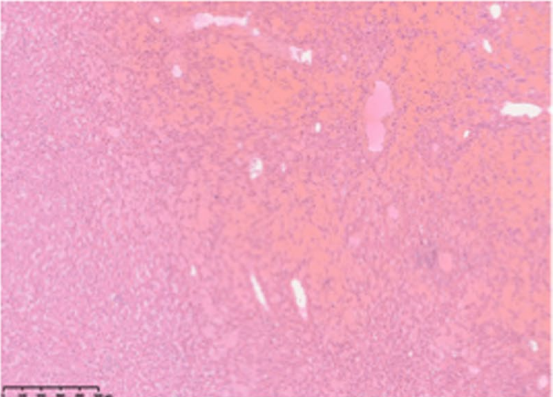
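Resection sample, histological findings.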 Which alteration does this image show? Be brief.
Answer: Dilatation and congestion of the sinusoid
